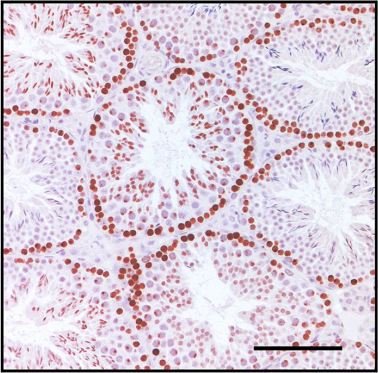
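This is a section of testis with several seminiferous tubules cut across, each a round tube packed with germ cells around a pale central lumen. Just inside the wall of each tubule lies a nearly continuous ring of round nuclei stained dark brown, one or two cells deep. Further in, the cells have paler, bluish or lightly brown round nuclei, forming the thicker middle layers of the epithelium. Toward the lumen there are slender, elongated brown-stained heads arranged in bundles pointing into the centre, and the lumen itself is filled with faint pale threads of tails. Between the tubules, narrow interstitial spaces hold a few scattered cells and small vessels.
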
